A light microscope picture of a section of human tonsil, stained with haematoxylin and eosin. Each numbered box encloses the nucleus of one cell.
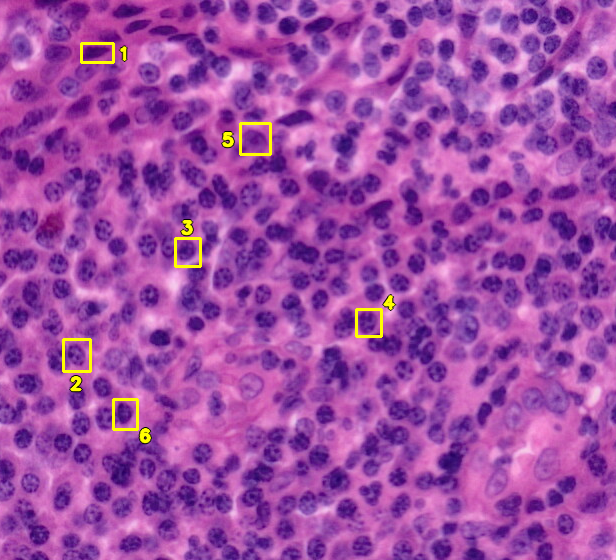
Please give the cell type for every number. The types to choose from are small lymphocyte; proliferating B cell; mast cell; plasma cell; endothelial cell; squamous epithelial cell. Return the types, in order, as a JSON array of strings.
["squamous epithelial cell", "plasma cell", "plasma cell", "plasma cell", "squamous epithelial cell", "plasma cell"]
